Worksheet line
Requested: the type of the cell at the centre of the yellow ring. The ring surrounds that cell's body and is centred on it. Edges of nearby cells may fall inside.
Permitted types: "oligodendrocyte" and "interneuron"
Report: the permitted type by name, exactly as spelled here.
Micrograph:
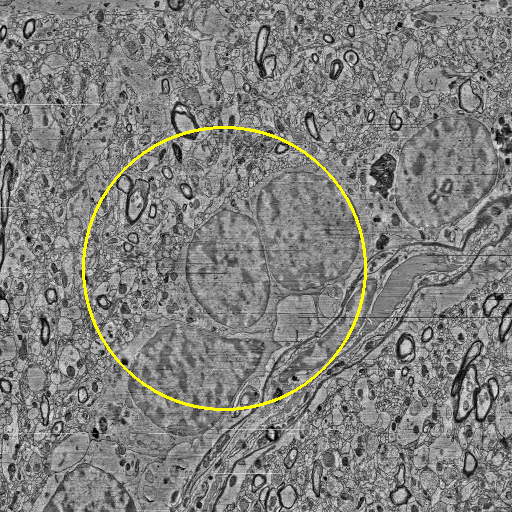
oligodendrocyte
